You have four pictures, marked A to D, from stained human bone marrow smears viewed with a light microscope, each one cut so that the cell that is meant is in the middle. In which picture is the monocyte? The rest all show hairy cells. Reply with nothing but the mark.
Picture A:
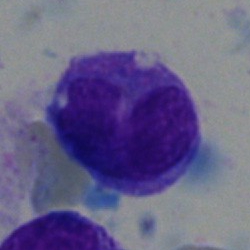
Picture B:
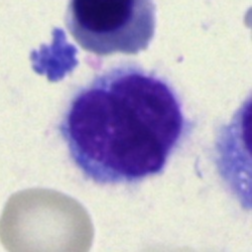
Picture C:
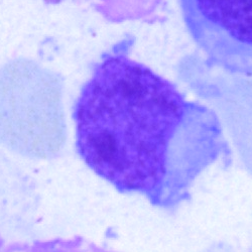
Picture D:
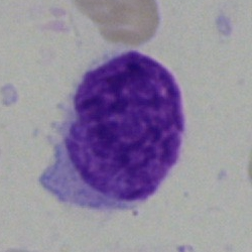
A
